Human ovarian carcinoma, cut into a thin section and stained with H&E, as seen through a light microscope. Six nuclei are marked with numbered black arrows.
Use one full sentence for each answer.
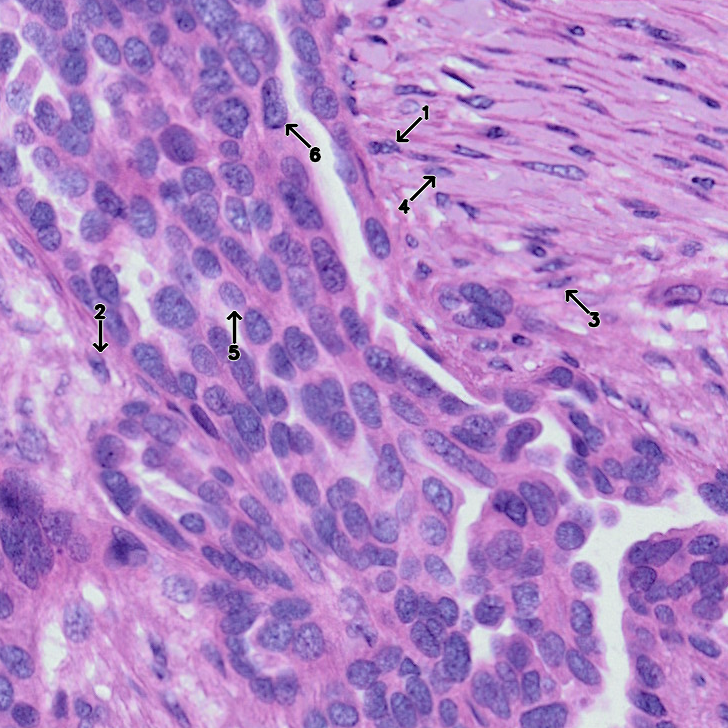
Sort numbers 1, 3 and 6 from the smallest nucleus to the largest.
Smallest first, the nuclei run 1, 3, 6.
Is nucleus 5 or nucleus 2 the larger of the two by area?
The larger nucleus is 5, at roughly 1.5 times the area of 2.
